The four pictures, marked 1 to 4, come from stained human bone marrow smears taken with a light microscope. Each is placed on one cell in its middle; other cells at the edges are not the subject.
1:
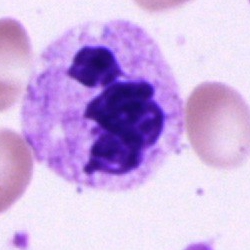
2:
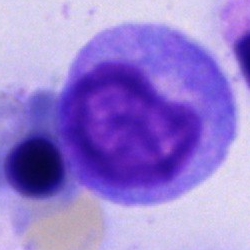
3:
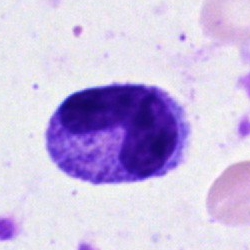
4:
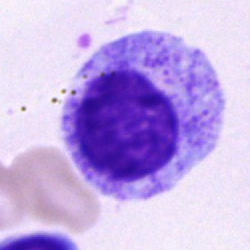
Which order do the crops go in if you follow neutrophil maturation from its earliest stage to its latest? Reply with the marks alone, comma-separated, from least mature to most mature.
2, 4, 3, 1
